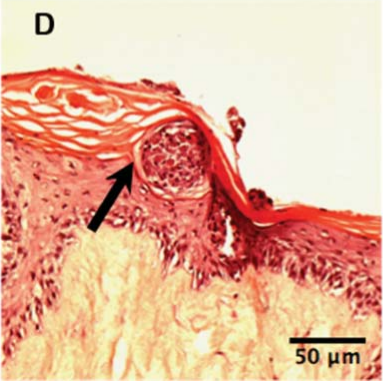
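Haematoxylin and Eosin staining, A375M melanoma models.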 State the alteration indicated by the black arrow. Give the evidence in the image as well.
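Cells in cluster within the epidermis. A round, sharply bordered nest of cells lies in the upper epidermis. The cornified layers are pushed around the nest.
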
